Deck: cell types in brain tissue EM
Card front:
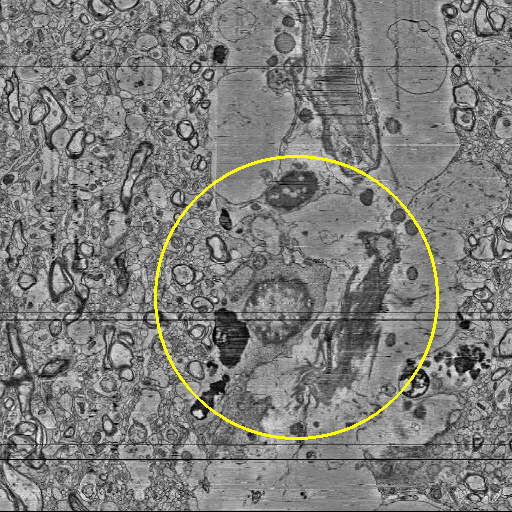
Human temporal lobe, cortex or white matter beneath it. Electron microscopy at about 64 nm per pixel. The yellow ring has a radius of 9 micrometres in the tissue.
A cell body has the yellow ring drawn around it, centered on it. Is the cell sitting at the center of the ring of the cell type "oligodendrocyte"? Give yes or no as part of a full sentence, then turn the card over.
Yes, on this card the yellow ring is centered on a cell of that type.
